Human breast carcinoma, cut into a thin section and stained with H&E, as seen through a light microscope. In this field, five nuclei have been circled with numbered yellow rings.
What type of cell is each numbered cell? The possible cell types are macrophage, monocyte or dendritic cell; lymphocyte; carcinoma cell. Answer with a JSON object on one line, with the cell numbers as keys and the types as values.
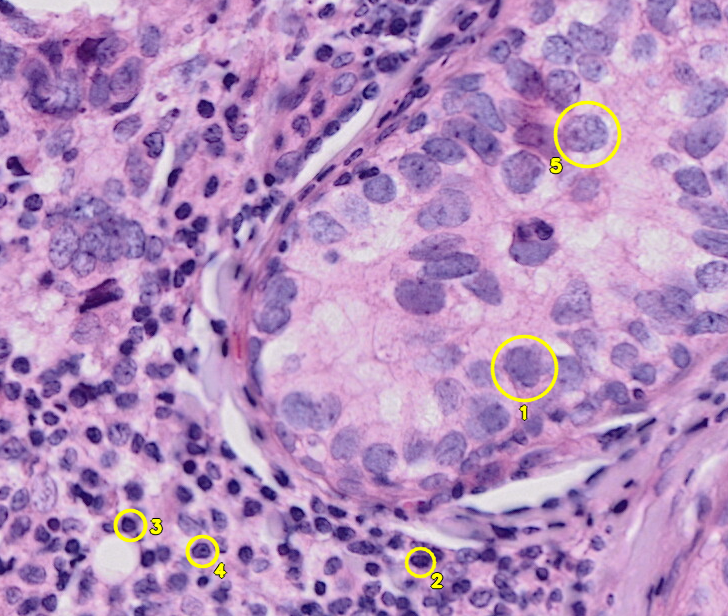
{"1": "carcinoma cell", "2": "lymphocyte", "3": "lymphocyte", "4": "lymphocyte", "5": "carcinoma cell"}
